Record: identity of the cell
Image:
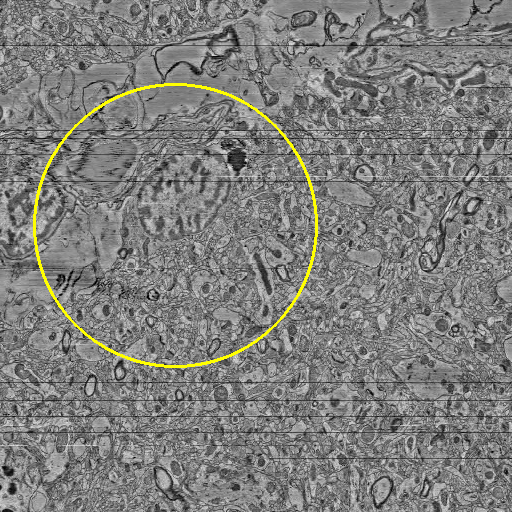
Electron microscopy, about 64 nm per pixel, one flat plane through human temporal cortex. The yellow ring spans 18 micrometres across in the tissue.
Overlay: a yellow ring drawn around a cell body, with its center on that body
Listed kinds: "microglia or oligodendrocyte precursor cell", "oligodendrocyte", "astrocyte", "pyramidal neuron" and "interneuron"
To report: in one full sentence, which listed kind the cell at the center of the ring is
In the image, the cell body at the ring's center belongs to an oligodendrocyte.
